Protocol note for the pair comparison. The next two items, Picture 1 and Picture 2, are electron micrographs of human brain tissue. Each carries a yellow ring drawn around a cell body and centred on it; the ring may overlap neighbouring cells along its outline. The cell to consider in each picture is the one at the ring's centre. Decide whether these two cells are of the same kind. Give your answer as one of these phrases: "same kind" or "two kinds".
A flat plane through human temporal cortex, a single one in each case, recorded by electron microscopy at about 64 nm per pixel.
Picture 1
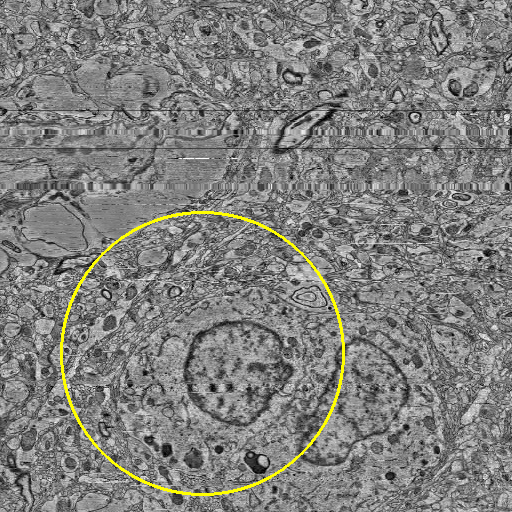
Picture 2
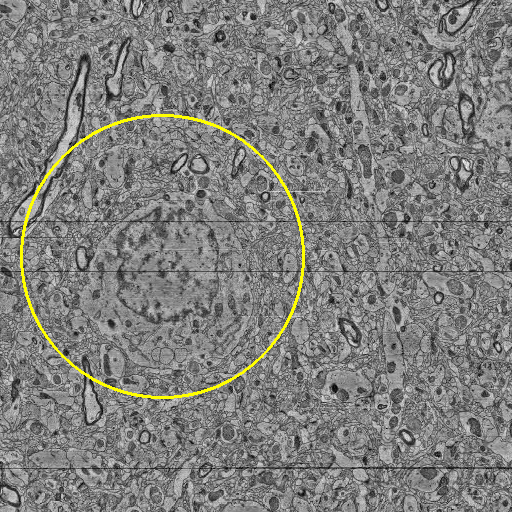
two kinds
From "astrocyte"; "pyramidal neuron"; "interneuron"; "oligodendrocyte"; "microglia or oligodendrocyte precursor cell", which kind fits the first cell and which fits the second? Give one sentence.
The cell marked in the first picture is a pyramidal neuron, and the one marked in the second is an interneuron.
